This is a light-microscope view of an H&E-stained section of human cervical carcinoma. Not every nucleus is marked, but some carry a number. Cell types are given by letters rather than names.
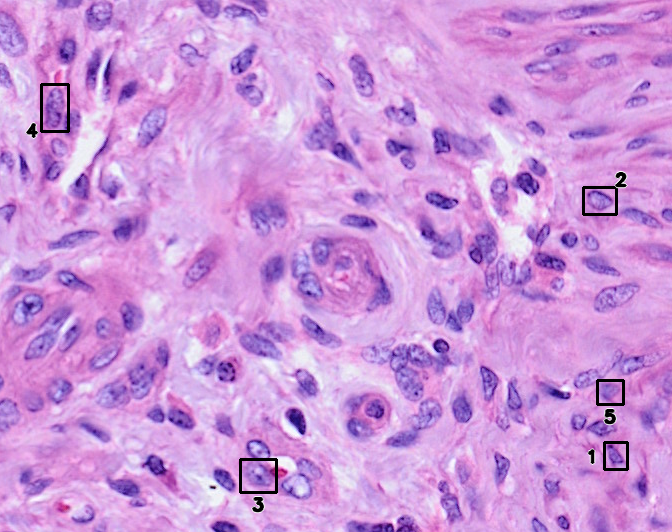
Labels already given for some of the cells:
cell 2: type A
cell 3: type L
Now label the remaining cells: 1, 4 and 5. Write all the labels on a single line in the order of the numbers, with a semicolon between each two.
type A; type L; type A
